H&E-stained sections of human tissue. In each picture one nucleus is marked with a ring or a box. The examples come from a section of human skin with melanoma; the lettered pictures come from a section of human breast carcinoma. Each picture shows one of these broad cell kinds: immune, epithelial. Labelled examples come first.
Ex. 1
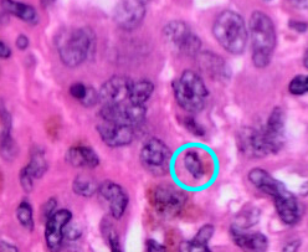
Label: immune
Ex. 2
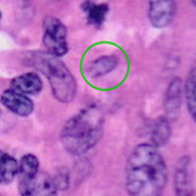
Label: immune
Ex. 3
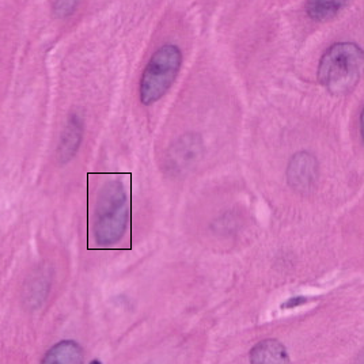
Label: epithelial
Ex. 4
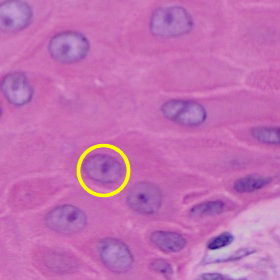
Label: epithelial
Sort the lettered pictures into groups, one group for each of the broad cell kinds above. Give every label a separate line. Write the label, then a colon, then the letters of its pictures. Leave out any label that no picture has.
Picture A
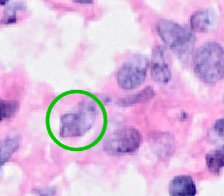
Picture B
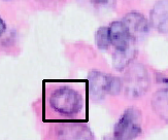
epithelial: A, B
